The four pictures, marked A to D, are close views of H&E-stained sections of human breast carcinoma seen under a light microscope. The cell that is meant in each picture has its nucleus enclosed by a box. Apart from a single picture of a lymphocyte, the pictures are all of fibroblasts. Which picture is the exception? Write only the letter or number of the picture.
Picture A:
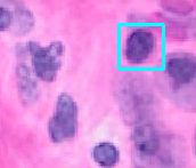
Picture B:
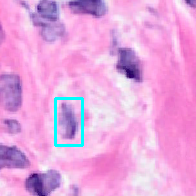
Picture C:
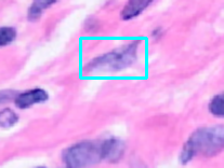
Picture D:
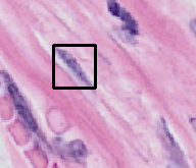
A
